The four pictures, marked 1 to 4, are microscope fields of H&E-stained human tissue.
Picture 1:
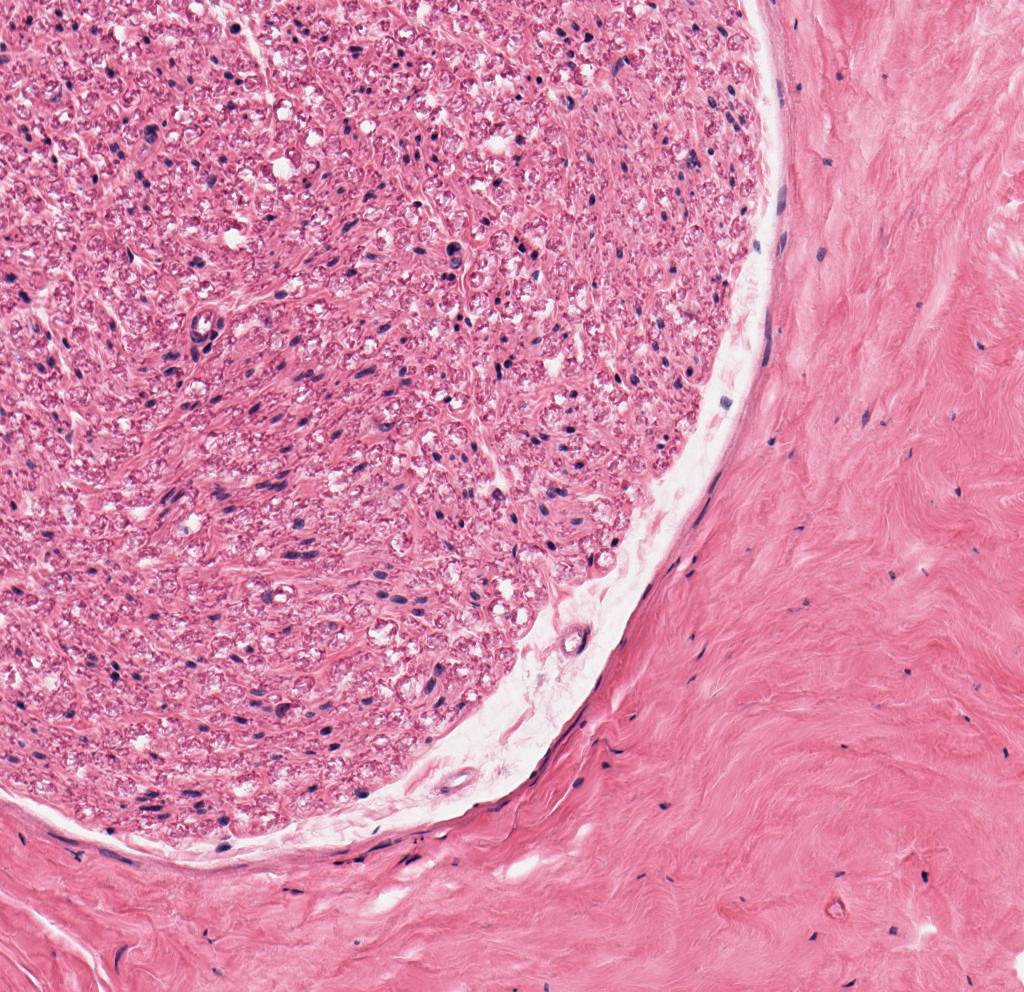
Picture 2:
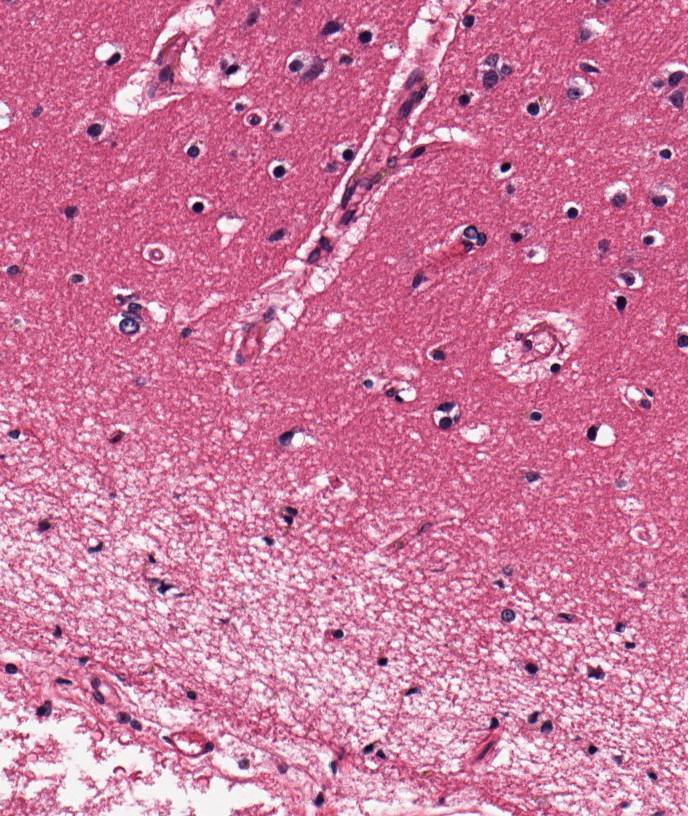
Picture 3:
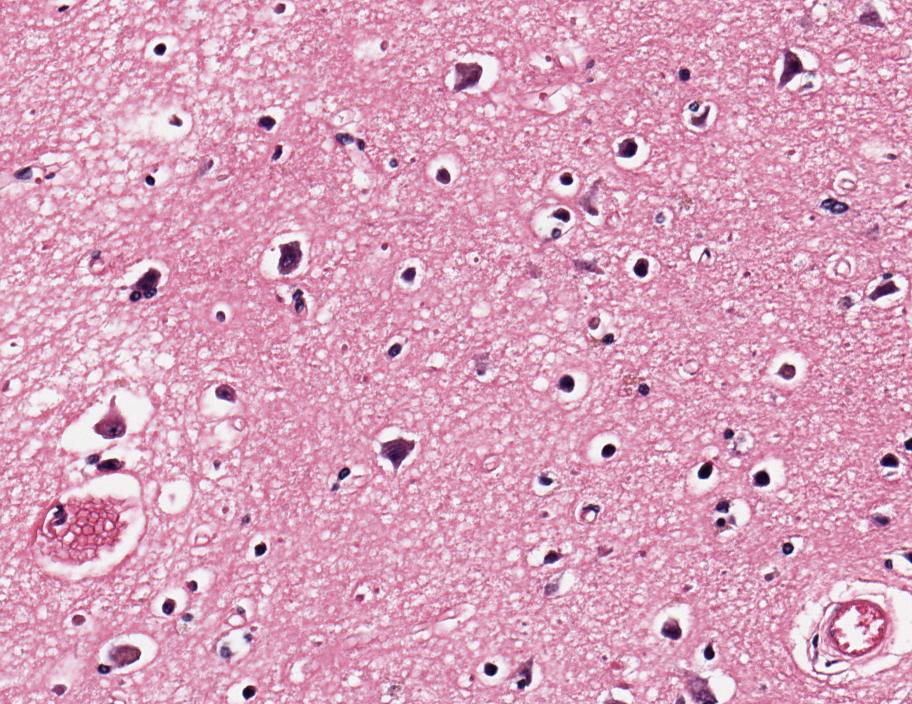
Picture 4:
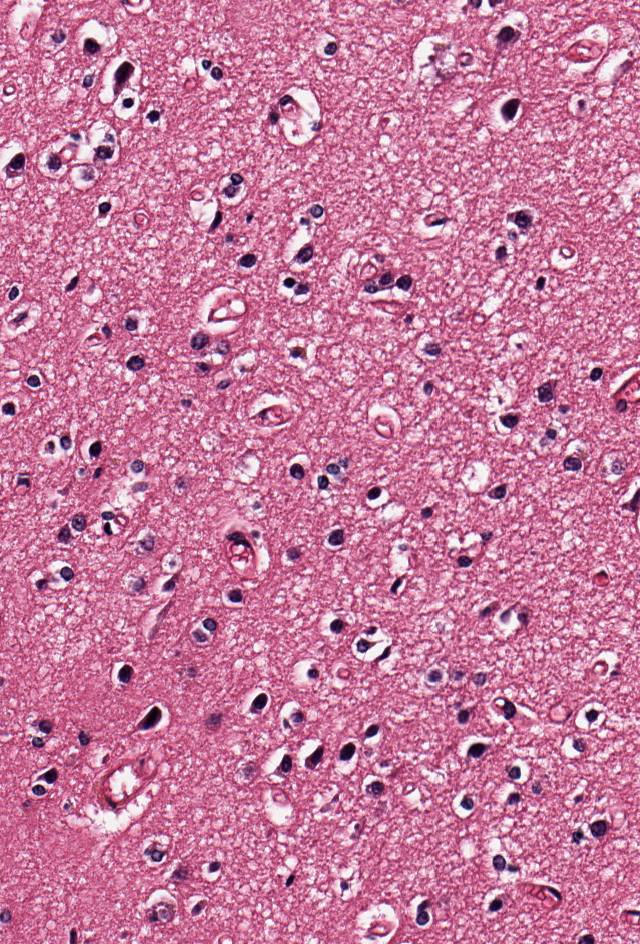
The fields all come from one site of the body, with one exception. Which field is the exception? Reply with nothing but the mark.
1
